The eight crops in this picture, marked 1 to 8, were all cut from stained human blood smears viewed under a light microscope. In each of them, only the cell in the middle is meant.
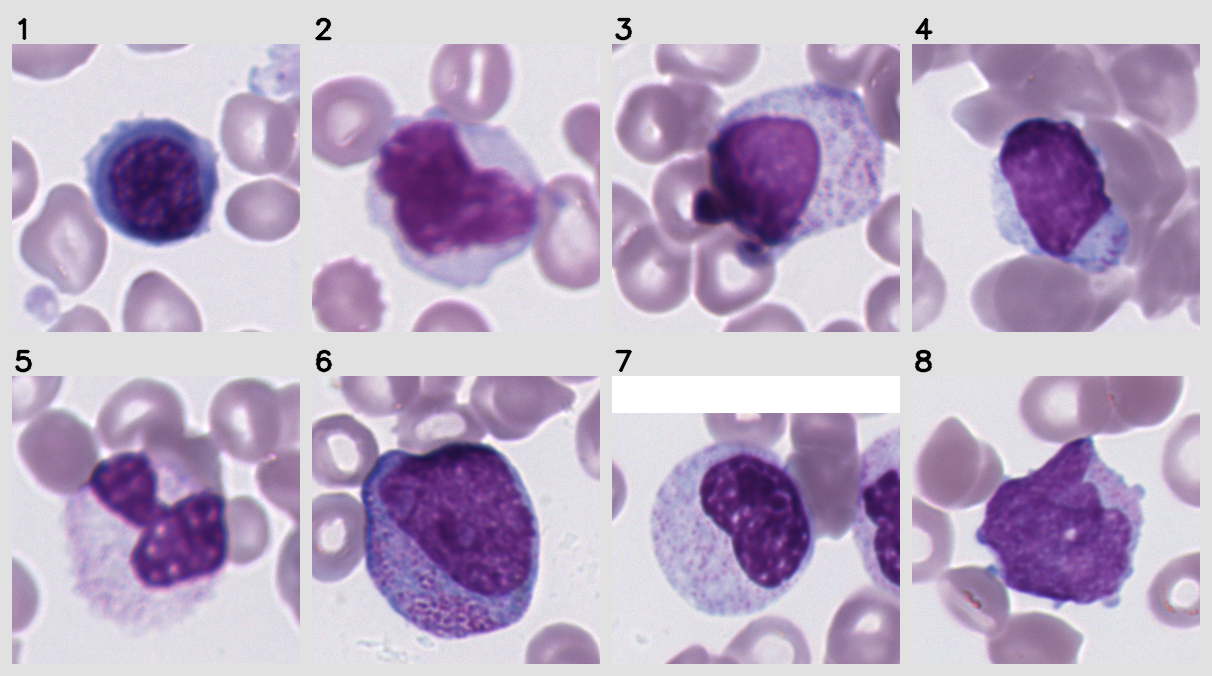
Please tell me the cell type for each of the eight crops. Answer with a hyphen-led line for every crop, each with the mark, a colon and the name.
- 1: normoblast
- 2: large granular lymphocyte
- 3: myelocyte
- 4: large granular lymphocyte
- 5: segmented neutrophil
- 6: promyelocyte
- 7: metamyelocyte
- 8: atypical promyelocyte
